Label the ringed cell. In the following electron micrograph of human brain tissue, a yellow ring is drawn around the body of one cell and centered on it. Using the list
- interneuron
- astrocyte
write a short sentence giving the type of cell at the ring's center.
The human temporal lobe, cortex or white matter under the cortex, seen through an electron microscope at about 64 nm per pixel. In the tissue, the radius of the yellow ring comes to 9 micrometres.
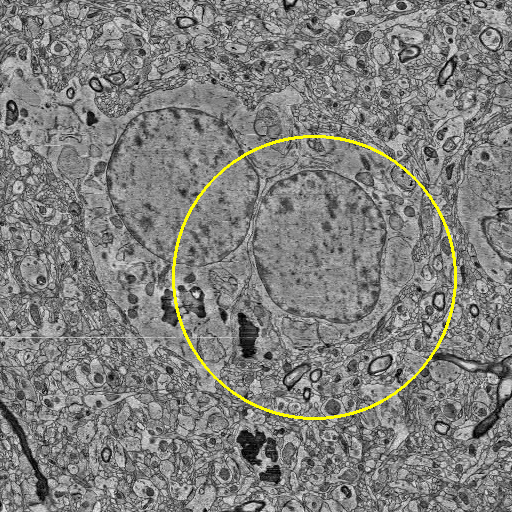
The cell body at the ring's center is that of an astrocyte.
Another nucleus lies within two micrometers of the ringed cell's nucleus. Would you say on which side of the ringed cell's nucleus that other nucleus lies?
The other one is to the upper left of it.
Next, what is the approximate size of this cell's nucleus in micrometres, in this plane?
About 10 by 9 micrometers, in this plane.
